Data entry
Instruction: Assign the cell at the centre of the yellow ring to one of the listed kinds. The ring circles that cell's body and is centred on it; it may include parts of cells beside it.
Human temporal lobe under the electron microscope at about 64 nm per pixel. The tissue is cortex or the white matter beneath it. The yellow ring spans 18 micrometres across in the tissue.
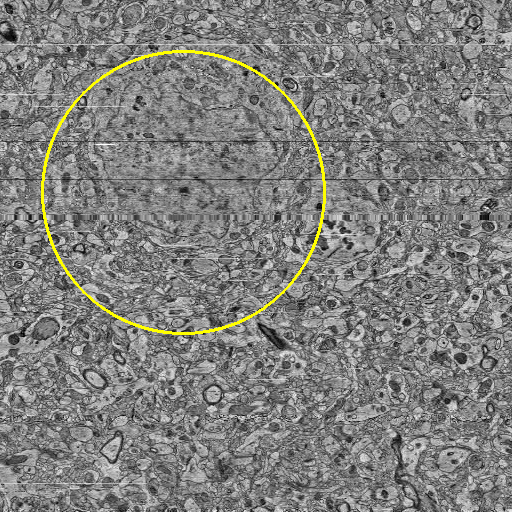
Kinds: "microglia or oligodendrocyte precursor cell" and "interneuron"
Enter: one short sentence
The centre of the ring falls on an interneuron.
